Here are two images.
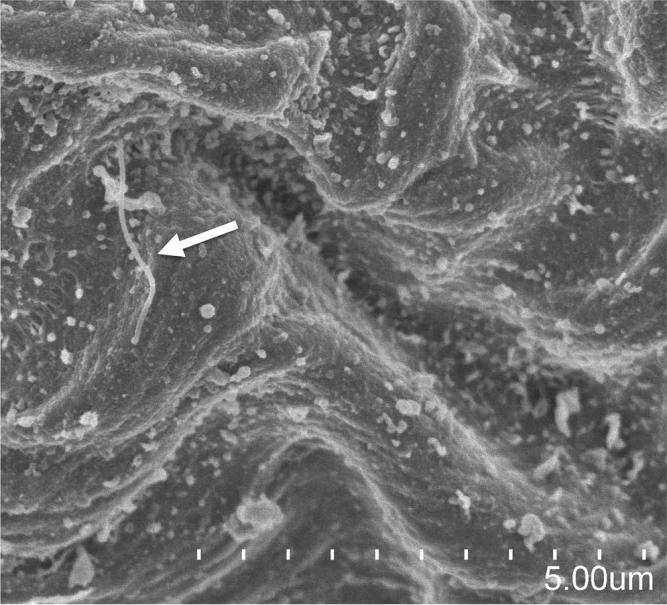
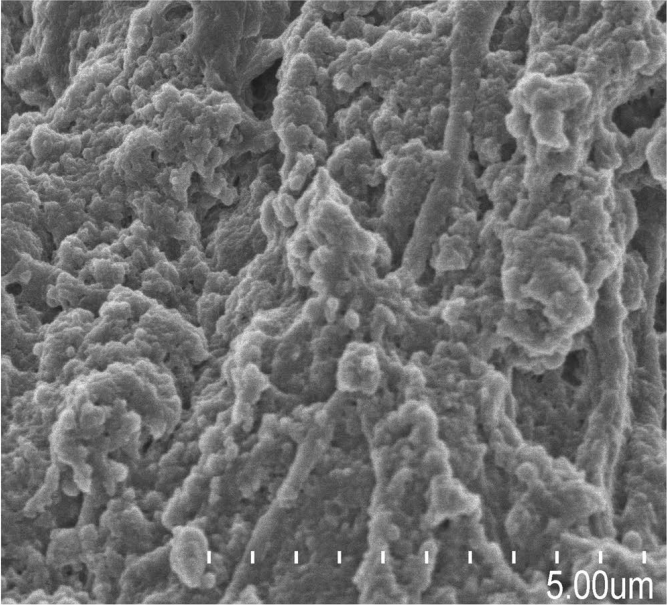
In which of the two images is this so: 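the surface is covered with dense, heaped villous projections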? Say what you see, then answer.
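First image: broad, fairly smooth folded surfaces with only small scattered knobs. Second image: a rough surface crowded with clumped, knobbly projections and strands. On this evidence: the second image.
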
